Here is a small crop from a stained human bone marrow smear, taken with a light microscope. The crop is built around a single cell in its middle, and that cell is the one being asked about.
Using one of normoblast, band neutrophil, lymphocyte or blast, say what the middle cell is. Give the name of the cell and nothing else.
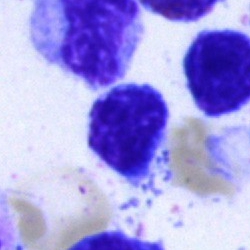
lymphocyte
